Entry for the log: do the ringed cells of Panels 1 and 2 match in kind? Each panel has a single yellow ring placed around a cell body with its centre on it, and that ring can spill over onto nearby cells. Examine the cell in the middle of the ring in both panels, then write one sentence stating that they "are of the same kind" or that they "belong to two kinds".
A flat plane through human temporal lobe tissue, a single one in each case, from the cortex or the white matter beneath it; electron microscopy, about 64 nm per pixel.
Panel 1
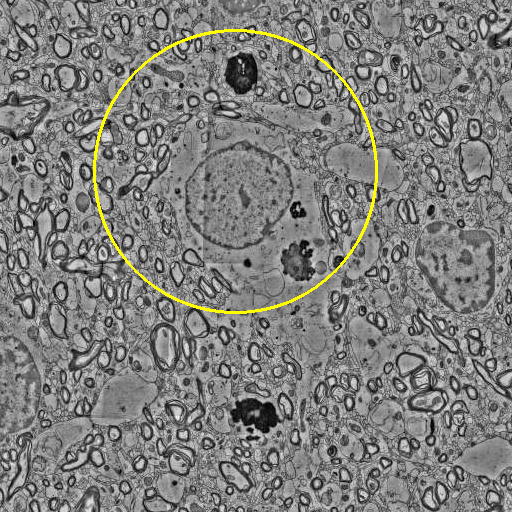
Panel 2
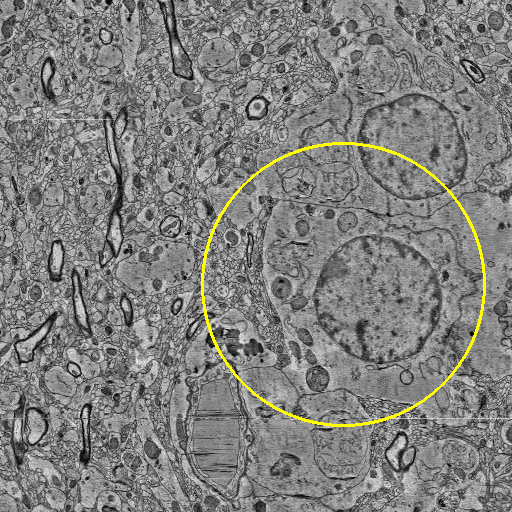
The centre cell of Panel 1's ring and that of Panel 2's ring are of the same kind.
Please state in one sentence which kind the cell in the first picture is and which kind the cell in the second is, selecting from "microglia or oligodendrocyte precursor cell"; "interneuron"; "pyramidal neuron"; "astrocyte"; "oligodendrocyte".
In both pictures the ring is centred on an astrocyte.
